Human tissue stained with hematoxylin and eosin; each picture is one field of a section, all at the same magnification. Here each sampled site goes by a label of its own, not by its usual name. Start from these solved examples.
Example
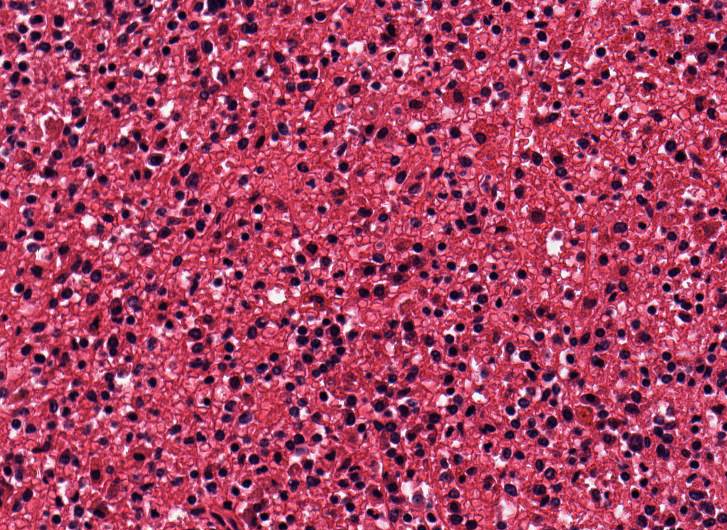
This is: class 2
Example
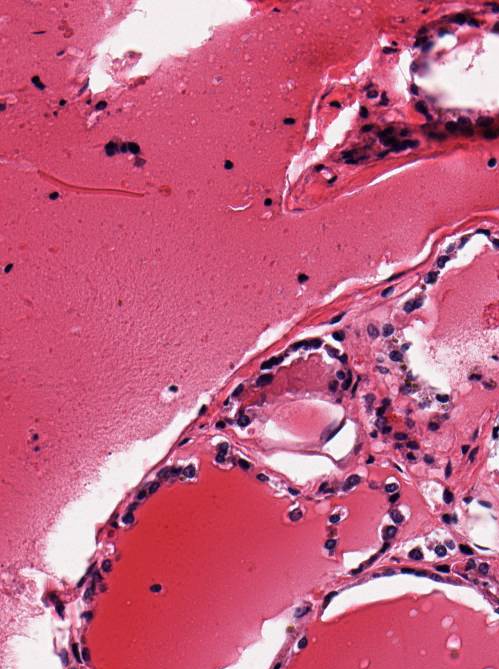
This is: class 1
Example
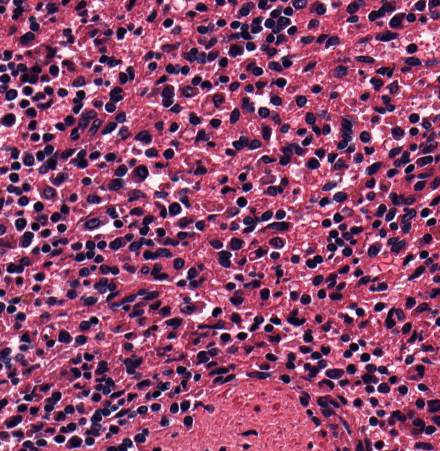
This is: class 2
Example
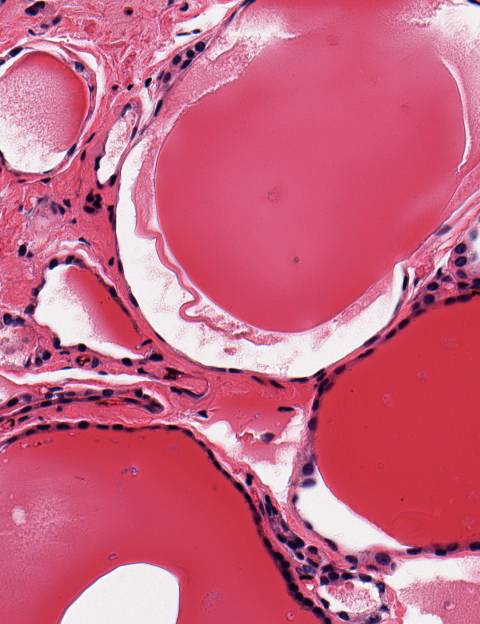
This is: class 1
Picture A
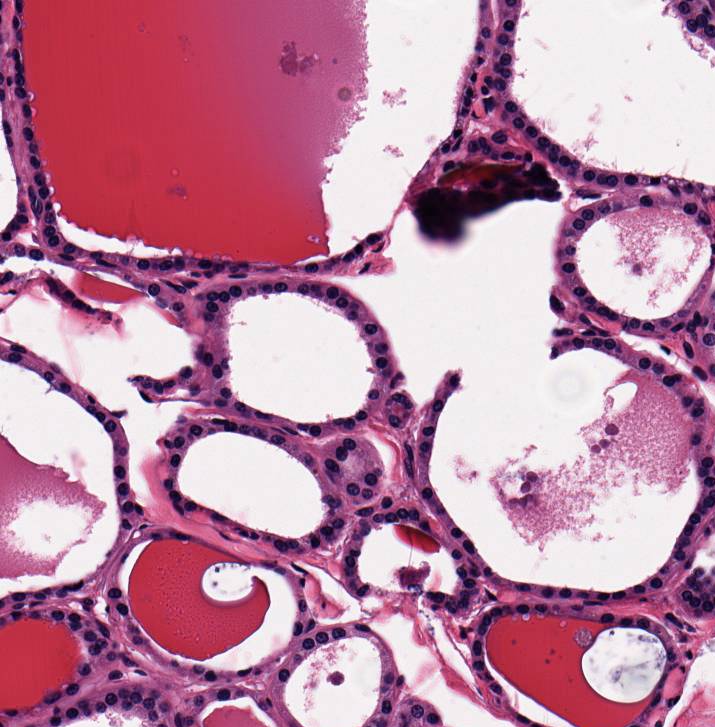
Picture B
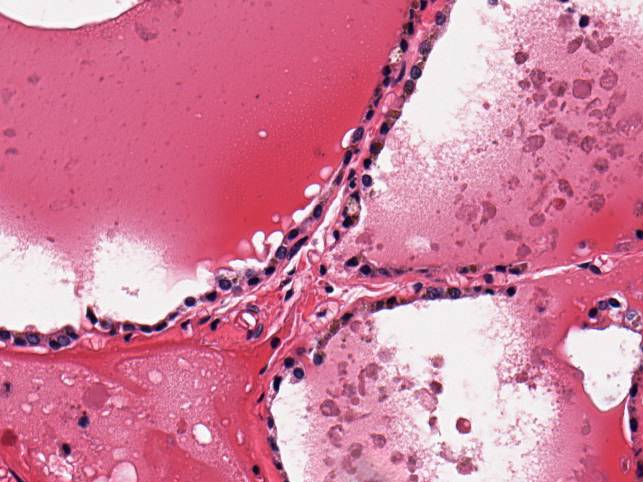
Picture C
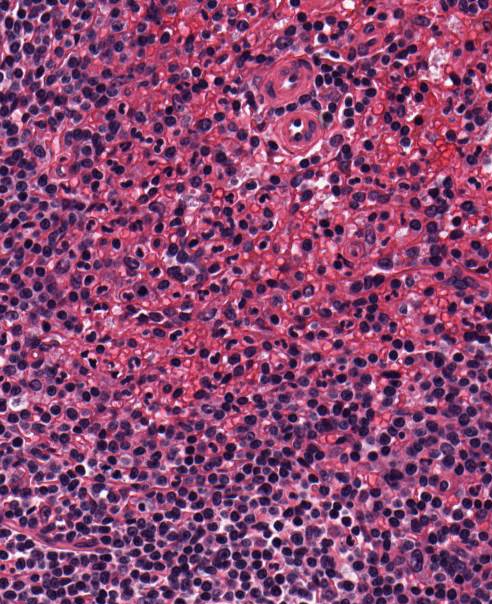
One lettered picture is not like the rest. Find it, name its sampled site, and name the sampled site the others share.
Different: C, class 2. Others: class 1.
